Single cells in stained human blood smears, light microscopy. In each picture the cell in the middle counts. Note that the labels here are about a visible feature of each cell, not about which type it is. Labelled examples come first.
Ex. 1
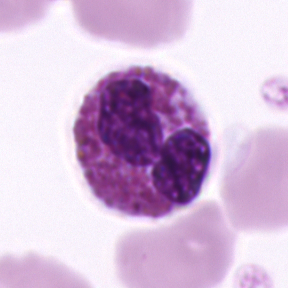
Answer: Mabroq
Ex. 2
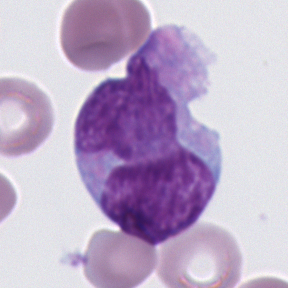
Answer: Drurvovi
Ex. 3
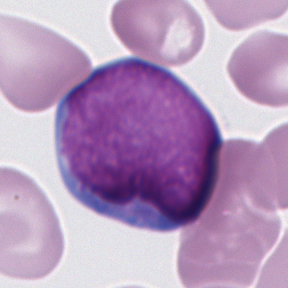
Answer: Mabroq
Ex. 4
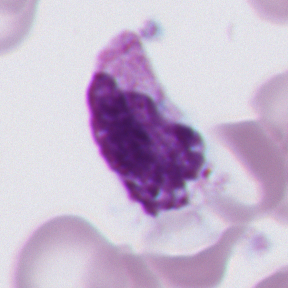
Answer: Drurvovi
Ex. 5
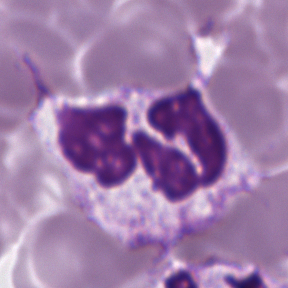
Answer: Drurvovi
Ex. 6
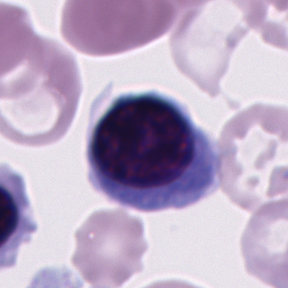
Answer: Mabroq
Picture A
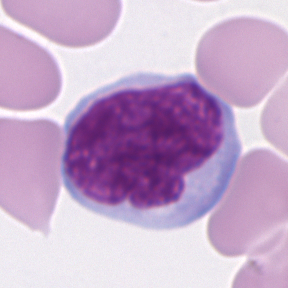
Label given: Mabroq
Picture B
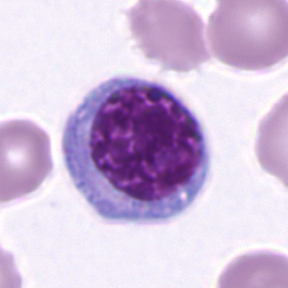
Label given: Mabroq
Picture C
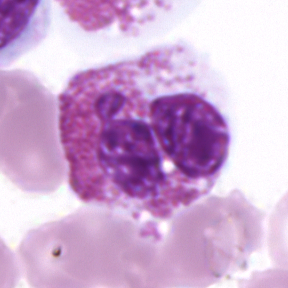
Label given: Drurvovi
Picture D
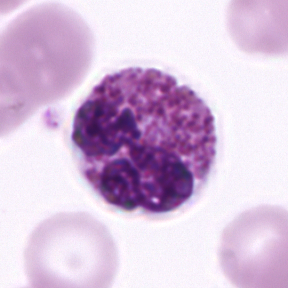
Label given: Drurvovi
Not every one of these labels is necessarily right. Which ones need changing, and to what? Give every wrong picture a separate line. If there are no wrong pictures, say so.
D should be Mabroq, not Drurvovi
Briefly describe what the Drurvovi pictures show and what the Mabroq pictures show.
In Drurvovi: ragged outline or projections. In Mabroq: smooth outline.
